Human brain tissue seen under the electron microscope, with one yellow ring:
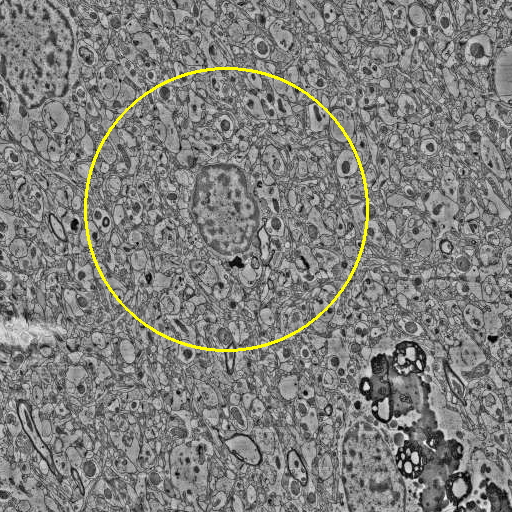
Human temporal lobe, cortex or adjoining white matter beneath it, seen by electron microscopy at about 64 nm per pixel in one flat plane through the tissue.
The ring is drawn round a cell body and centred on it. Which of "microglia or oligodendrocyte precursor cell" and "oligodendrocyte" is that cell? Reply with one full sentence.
The picture shows an oligodendrocyte at the very centre of the yellow ring.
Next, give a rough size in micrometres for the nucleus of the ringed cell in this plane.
The nucleus of the ringed cell is approximately 6 by 4 micrometres in this plane.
